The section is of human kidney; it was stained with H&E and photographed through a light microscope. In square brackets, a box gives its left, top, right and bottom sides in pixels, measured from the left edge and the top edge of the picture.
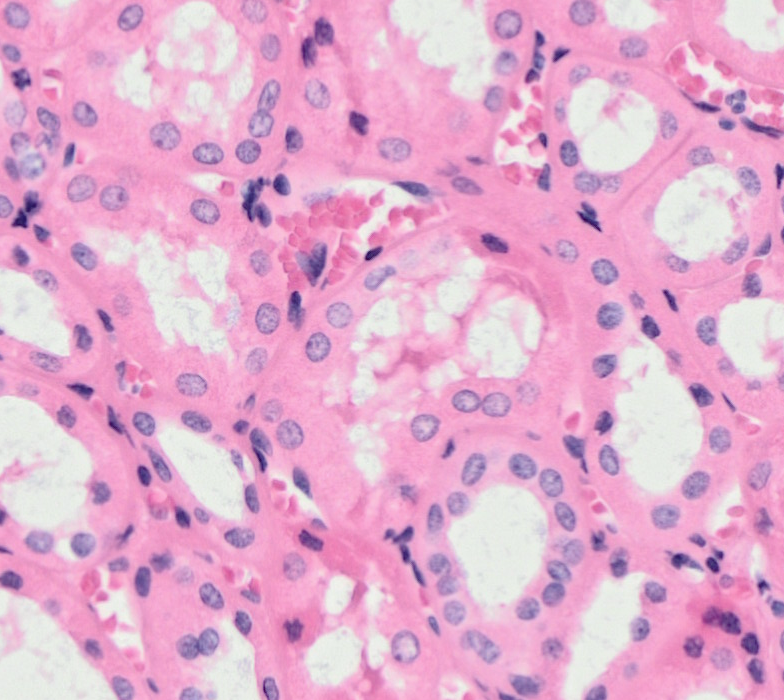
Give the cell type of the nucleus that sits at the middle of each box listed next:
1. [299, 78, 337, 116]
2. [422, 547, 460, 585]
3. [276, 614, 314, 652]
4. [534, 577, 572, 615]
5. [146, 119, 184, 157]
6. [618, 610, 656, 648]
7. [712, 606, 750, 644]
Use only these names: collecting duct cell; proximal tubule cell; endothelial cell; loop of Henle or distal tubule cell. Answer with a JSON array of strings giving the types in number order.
["proximal tubule cell", "collecting duct cell", "proximal tubule cell", "collecting duct cell", "proximal tubule cell", "loop of Henle or distal tubule cell", "proximal tubule cell"]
